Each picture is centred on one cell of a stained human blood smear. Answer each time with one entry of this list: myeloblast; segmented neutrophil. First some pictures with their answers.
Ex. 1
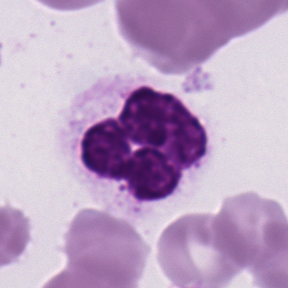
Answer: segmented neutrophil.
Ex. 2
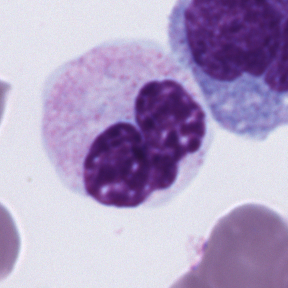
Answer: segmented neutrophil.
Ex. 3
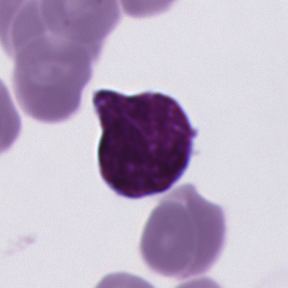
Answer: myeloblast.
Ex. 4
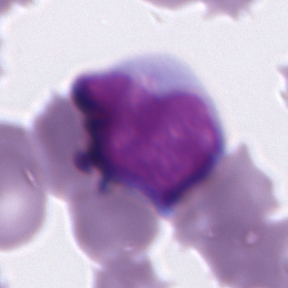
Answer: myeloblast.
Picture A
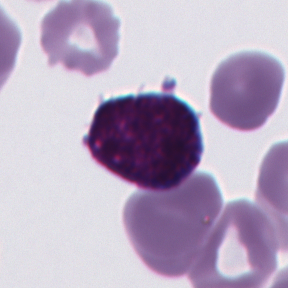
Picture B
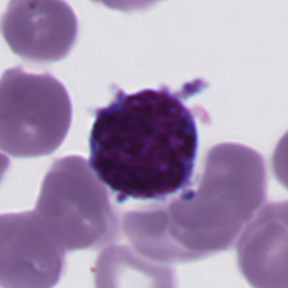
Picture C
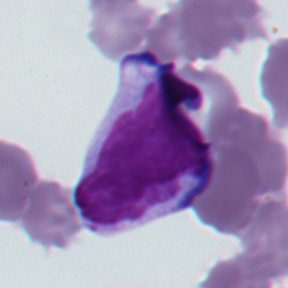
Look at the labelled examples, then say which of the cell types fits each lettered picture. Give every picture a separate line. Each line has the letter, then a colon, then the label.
A: myeloblast.
B: myeloblast.
C: myeloblast.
